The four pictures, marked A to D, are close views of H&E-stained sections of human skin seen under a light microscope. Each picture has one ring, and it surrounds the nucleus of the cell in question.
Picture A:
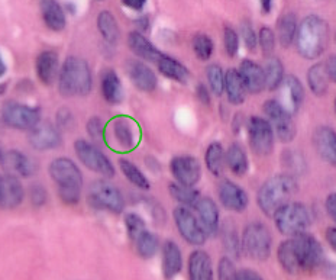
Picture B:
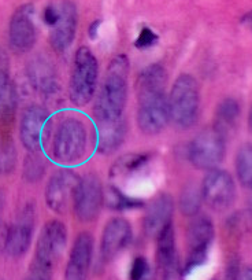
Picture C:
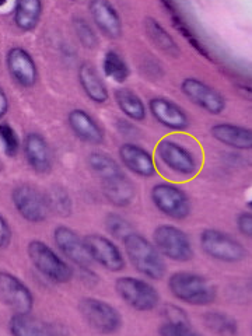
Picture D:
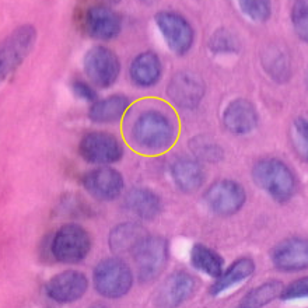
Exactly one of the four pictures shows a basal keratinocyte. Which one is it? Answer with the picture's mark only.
A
